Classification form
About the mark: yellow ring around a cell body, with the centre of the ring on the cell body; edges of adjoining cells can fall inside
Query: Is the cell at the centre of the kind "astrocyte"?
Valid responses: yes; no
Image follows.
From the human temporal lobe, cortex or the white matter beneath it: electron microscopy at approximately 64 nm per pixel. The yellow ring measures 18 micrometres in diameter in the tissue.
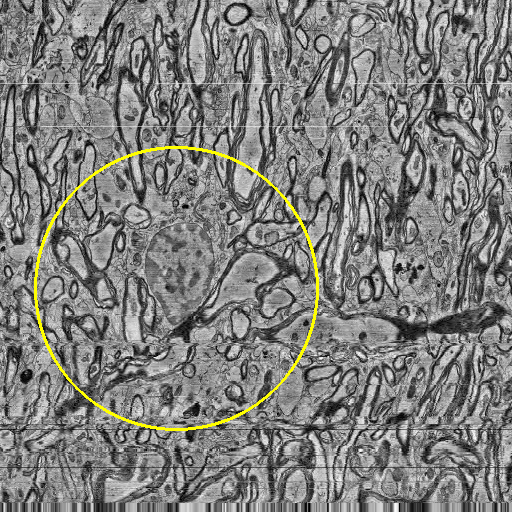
no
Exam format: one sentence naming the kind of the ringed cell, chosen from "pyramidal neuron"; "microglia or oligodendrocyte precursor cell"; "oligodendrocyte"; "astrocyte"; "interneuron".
The cell shown in the ring is a microglial cell or oligodendrocyte precursor cell.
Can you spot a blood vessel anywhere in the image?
No, there is none.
